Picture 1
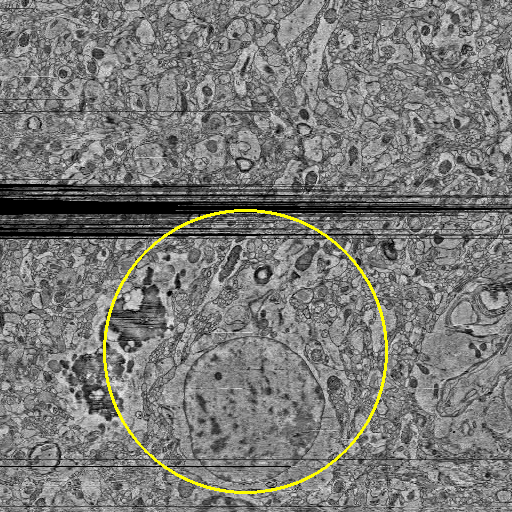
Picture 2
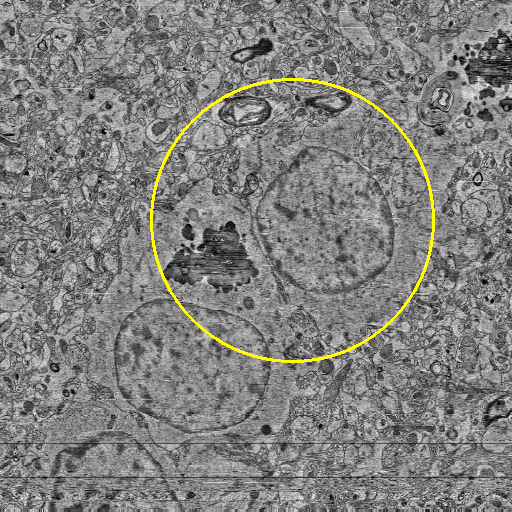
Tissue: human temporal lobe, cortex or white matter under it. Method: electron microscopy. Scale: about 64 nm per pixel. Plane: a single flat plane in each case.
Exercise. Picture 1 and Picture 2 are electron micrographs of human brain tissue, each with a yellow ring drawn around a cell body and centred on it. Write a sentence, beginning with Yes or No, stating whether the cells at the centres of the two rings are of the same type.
Yes, the cells at the centres of both rings are of the same type.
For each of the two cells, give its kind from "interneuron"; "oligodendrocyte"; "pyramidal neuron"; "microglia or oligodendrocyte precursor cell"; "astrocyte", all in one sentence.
Each of the ringed cells, first and second, is an astrocyte.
